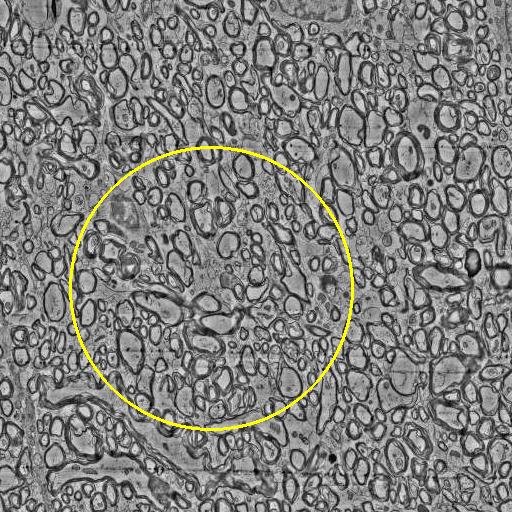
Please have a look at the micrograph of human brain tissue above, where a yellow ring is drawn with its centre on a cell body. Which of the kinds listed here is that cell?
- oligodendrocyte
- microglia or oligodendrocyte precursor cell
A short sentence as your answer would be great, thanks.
At the centre of the ring sits a microglial cell or oligodendrocyte precursor cell.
